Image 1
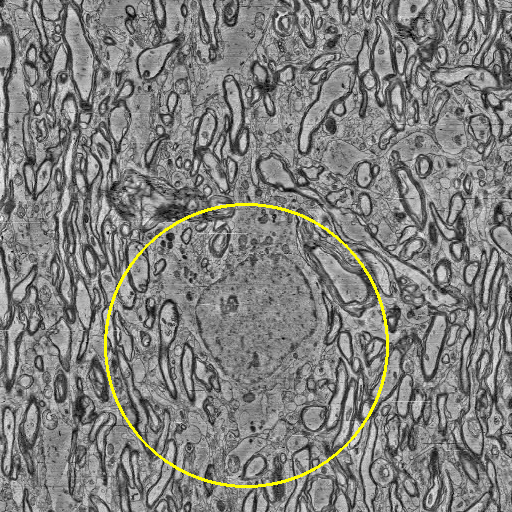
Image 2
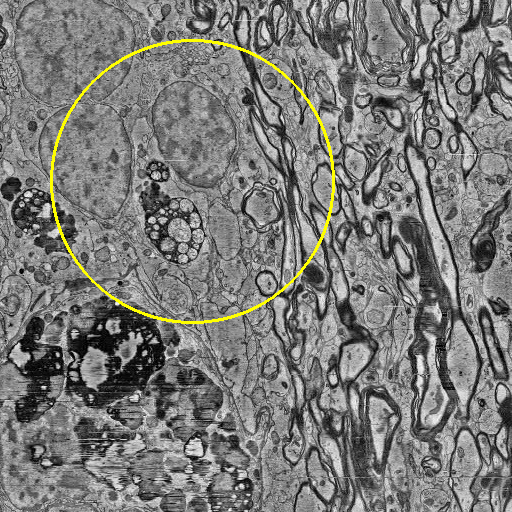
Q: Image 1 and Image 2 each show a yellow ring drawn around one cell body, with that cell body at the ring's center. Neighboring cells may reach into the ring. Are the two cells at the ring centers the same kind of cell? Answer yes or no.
no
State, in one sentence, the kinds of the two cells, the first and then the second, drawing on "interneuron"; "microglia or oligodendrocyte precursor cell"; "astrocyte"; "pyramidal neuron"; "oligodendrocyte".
The ring in the second picture is centred on an oligodendrocyte, the ring in the first on an astrocyte.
